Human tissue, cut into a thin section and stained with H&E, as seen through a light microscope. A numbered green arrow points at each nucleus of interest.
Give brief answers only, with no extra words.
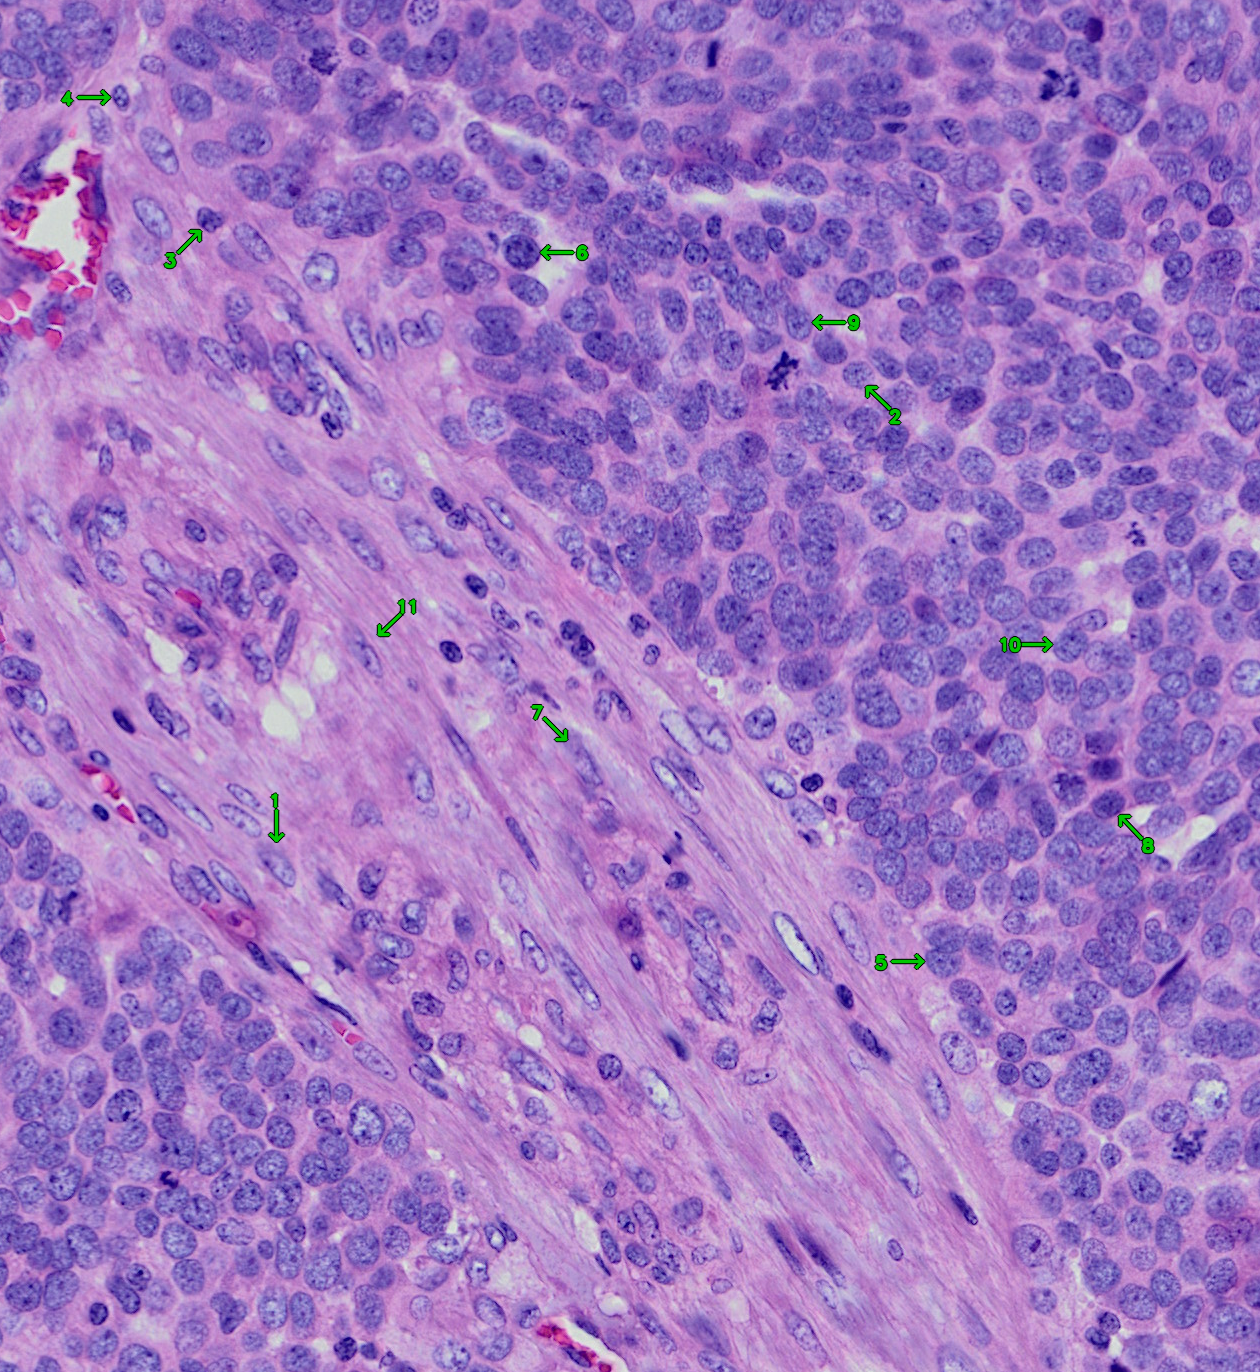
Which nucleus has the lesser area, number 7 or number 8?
8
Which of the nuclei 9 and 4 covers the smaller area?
4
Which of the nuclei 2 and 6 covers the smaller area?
2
